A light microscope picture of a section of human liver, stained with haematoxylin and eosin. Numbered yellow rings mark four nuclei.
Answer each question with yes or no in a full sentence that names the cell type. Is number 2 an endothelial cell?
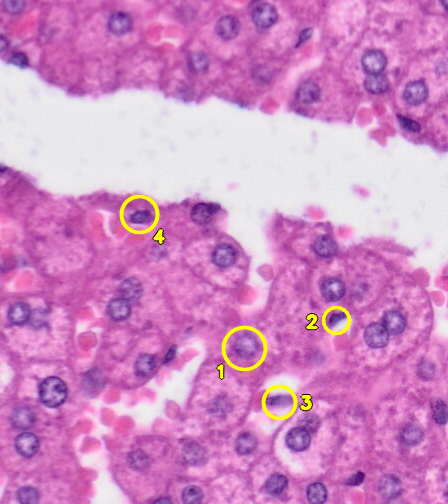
Yes, the cell carrying label 2 is an endothelial cell.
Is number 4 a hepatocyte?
No, cell 4 is not to be taken for a hepatocyte; it is a fibroblast or stellate cell.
